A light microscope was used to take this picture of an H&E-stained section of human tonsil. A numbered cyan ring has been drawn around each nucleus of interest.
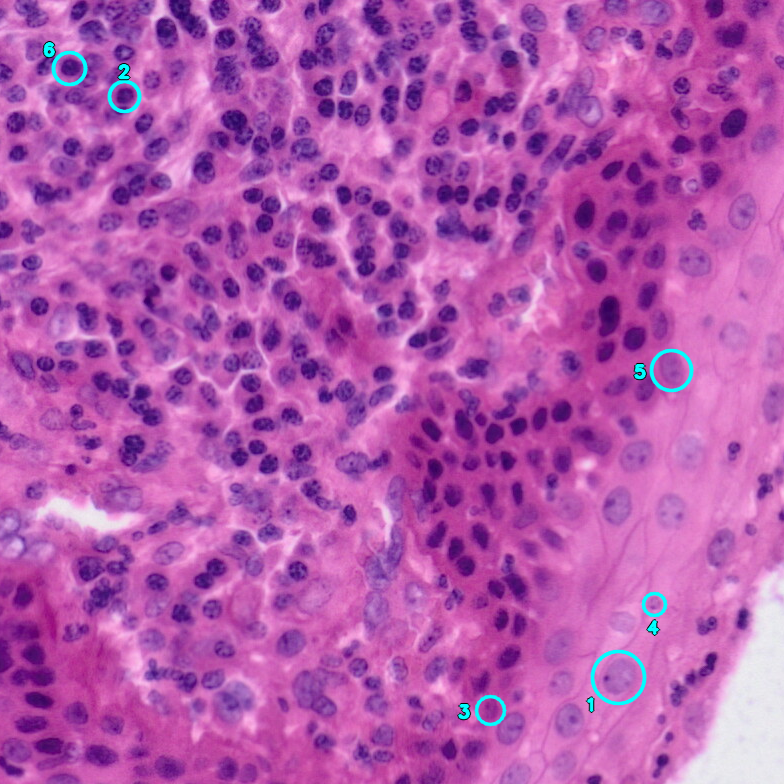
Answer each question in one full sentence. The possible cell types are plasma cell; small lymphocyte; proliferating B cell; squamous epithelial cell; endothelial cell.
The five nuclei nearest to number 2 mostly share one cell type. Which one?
Of the five nuclei nearest to number 2, most belong to plasma cells.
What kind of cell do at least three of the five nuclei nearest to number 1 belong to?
Squamous epithelial cells make up most of the five nuclei closest to number 1.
